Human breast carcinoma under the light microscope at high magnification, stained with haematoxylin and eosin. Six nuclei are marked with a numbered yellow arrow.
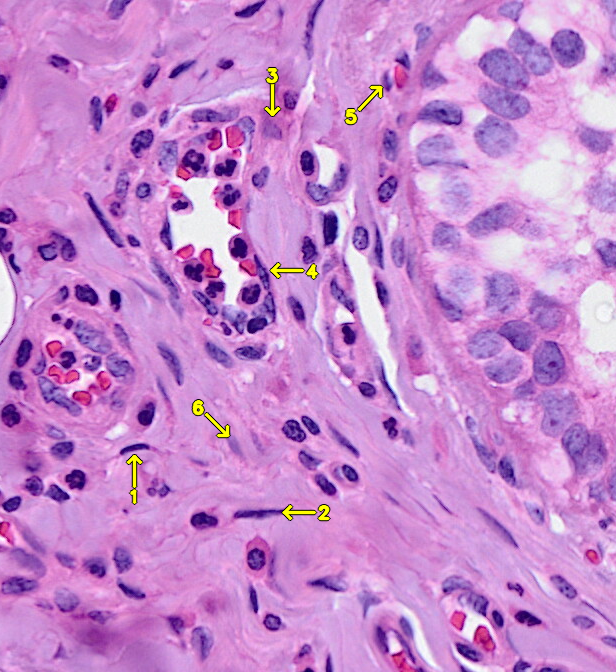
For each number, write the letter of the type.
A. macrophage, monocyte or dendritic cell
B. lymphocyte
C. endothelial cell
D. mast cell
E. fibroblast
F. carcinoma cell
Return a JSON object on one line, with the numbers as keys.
{"1": "E", "2": "E", "3": "C", "4": "C", "5": "C", "6": "E"}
